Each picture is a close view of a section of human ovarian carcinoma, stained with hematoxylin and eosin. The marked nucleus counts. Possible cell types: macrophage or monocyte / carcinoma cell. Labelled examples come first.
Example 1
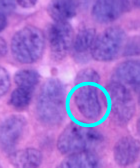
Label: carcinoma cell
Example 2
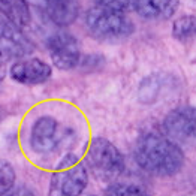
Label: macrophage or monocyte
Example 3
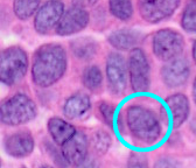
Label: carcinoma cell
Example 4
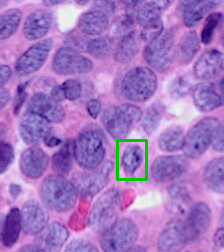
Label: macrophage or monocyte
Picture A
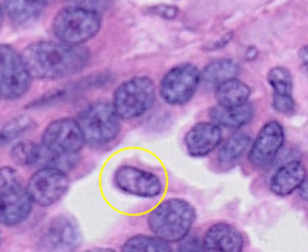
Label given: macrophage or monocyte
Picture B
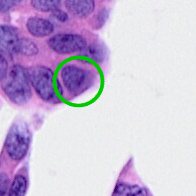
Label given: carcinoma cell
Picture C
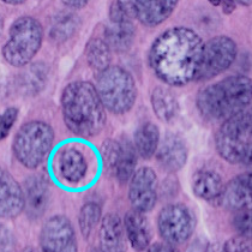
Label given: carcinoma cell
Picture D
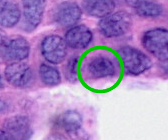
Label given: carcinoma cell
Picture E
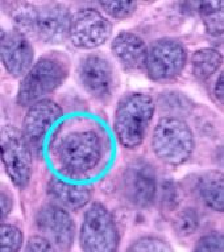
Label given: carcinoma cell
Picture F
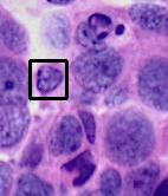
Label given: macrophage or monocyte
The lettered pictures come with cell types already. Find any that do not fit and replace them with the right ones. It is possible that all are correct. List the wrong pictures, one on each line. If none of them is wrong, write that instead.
C: not carcinoma cell but macrophage or monocyte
